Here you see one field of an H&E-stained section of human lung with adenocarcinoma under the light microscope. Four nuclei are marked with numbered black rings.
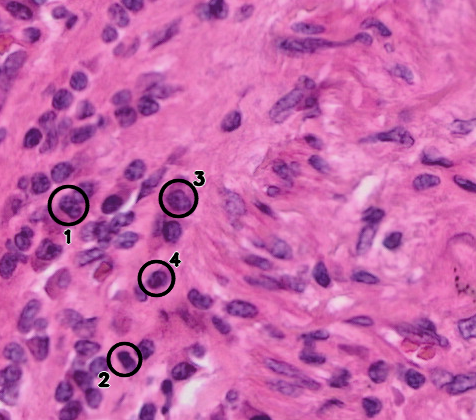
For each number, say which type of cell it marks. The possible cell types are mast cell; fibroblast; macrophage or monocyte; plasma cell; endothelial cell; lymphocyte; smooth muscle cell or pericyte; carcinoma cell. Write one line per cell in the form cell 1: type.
cell 1: plasma cell
cell 2: lymphocyte
cell 3: plasma cell
cell 4: plasma cell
